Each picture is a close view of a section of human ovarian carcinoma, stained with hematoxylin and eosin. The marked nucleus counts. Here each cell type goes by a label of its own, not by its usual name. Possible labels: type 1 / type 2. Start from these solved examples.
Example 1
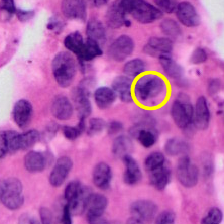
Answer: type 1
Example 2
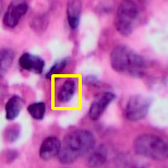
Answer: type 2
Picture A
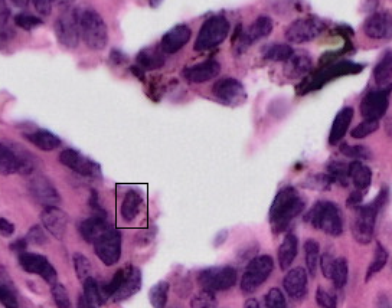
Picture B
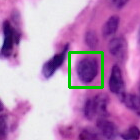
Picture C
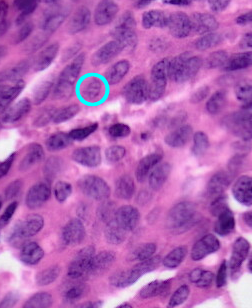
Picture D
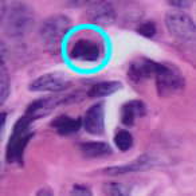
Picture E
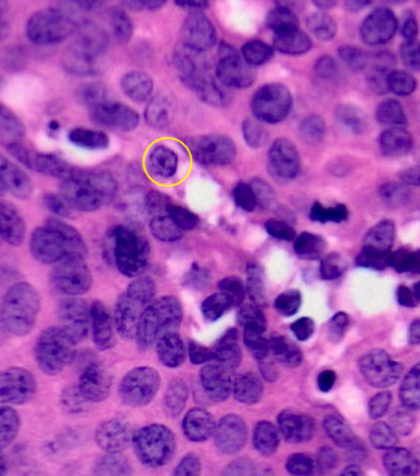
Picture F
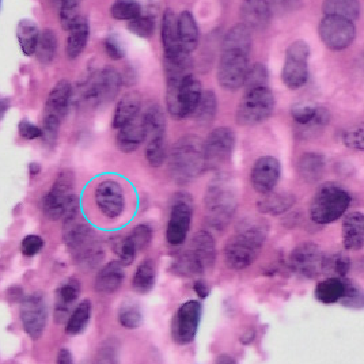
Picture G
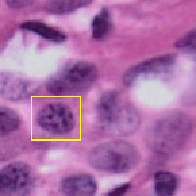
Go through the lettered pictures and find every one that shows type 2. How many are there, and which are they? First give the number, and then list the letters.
4: A, E, F, G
